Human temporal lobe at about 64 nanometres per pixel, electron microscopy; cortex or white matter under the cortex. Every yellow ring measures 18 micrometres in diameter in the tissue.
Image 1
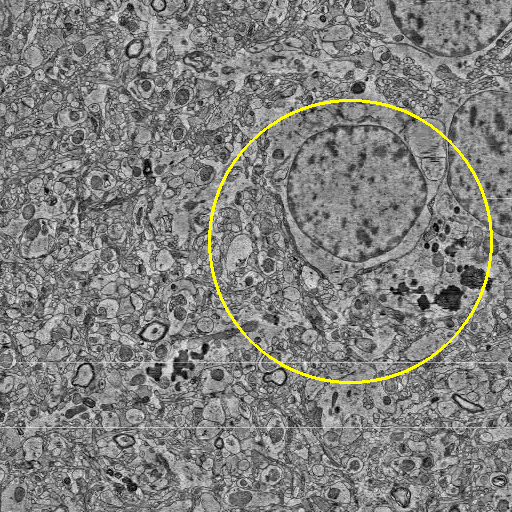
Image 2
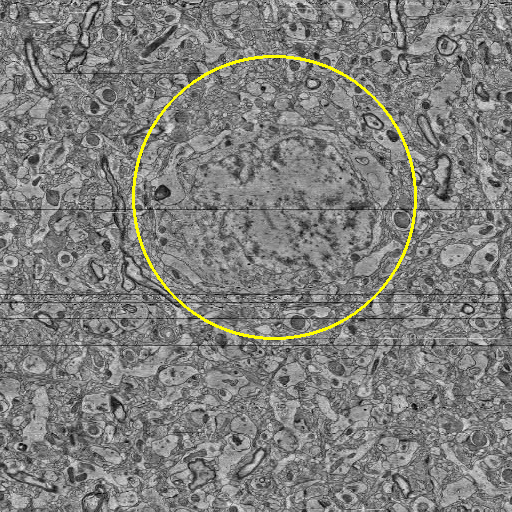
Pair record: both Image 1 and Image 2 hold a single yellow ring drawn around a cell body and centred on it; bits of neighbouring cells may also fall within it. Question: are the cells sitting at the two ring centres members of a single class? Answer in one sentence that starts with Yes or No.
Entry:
No, the ring-centre cells in Image 1 and Image 2 come from two classes.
